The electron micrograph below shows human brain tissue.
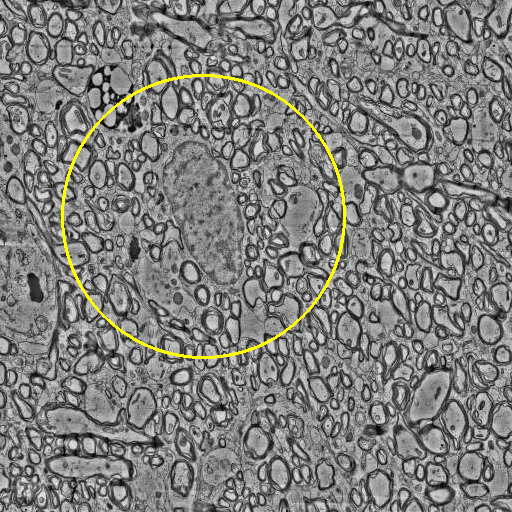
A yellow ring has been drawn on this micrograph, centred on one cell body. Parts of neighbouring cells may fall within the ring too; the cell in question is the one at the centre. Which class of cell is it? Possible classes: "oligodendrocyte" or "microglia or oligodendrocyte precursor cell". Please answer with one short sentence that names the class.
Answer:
In the centre of the ring sits an oligodendrocyte.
